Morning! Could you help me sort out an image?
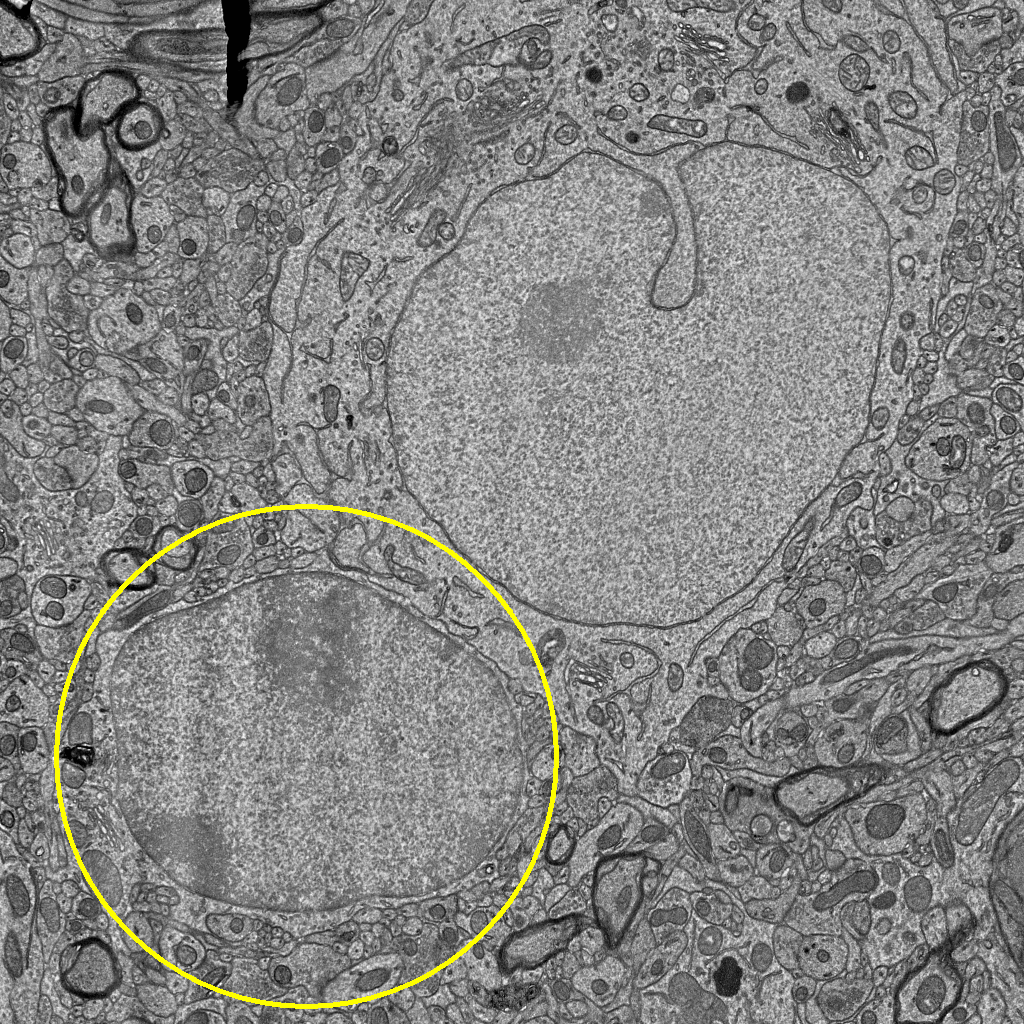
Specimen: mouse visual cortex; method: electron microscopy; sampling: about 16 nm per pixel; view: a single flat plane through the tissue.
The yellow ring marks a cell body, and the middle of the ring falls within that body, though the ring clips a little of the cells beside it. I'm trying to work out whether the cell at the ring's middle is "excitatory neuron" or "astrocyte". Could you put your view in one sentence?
The cell body at the ring's middle is that of an astrocyte.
